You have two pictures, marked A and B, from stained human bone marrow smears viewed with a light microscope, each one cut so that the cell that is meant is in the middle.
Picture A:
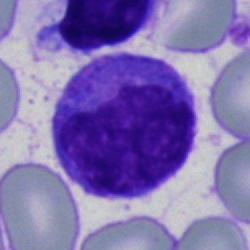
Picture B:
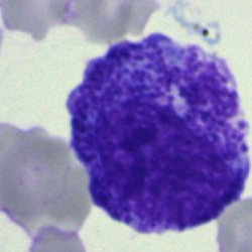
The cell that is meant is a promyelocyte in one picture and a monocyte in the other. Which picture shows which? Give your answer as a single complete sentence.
Picture A is of a monocyte, and picture B is of a promyelocyte.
